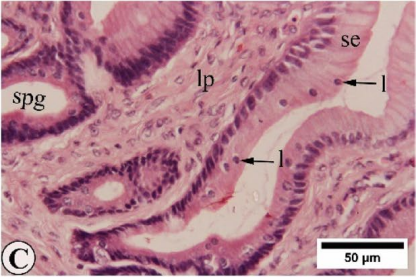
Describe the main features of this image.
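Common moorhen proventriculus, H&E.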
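Mucosa with a tall columnar surface epithelium with pale pink apical cytoplasm and basal dark nuclei, resting on a loose lamina propria with scattered spindle and round nuclei. Small round dark nuclei lie within the epithelium, apart from the row of epithelial nuclei. Superficial glands lined by dark-staining cells appear at the left in the lamina propria.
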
